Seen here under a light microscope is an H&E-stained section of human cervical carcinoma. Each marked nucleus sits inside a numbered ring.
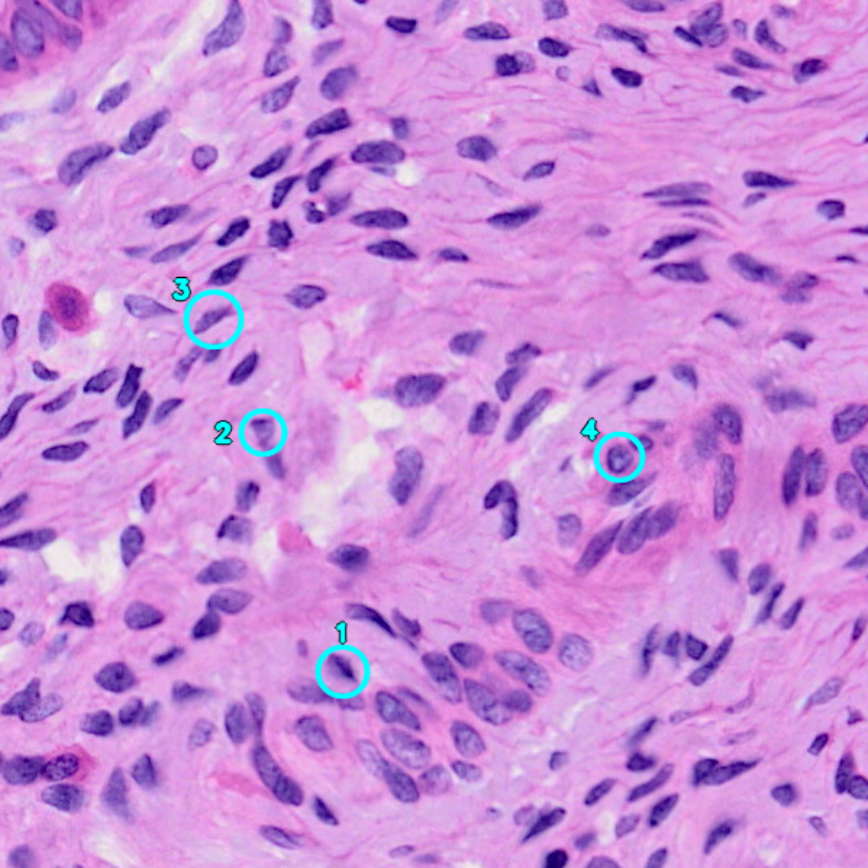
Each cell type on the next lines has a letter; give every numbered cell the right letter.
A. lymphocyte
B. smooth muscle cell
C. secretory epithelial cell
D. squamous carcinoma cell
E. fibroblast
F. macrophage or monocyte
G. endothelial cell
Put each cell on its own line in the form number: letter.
1: E
2: E
3: E
4: B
